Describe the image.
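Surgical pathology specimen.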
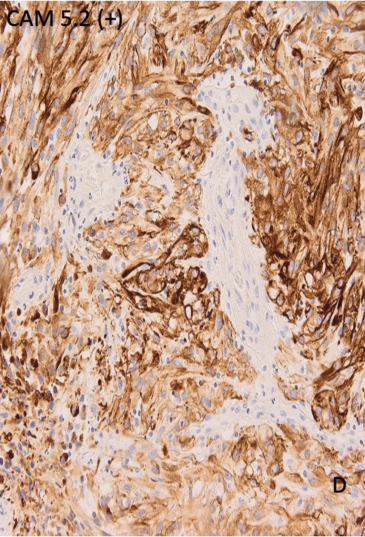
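Neoplastic cells show strong brown cytoplasmic staining. The stained cells form cohesive nests and elongated, spindle-like fascicles. Between the nests lies pale, unstained stroma containing small blue nuclei. Staining intensity varies from cell to cell, with some cells dark brown and others paler.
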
